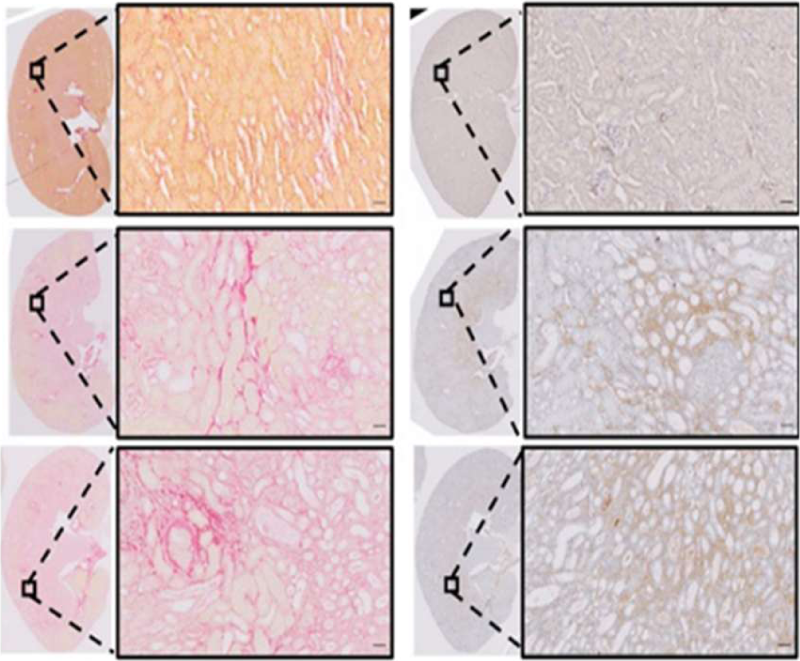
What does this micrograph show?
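Kidney sections shown as whole-organ thumbnails with magnified cortical fields, stained in red-on-yellow on the left and brown-on-grey on the right. In the lower rows the tubules look dilated and are surrounded by red-stained interstitial fibres and a brown-stained network, whereas the top row shows mostly yellow and pale grey tissue with little staining.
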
